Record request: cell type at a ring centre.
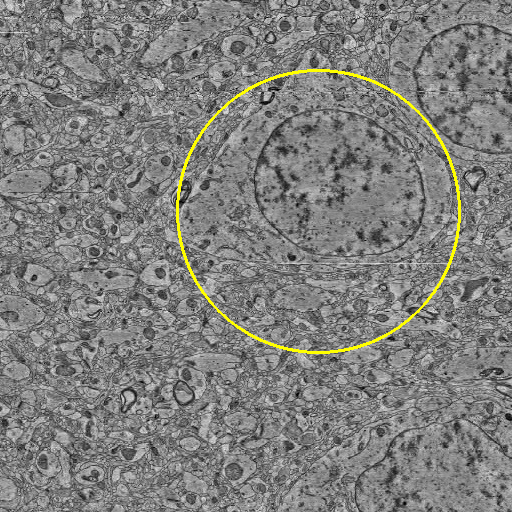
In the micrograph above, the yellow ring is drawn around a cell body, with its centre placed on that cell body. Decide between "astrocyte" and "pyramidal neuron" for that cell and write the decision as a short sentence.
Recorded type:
The cell centred in the yellow ring is a pyramidal neuron.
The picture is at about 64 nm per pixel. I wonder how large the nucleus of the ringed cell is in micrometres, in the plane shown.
Approximately 11 by 10 micrometers in this plane.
